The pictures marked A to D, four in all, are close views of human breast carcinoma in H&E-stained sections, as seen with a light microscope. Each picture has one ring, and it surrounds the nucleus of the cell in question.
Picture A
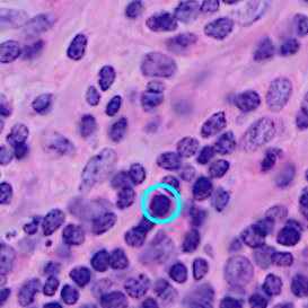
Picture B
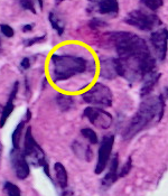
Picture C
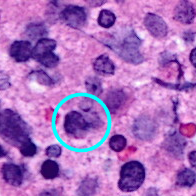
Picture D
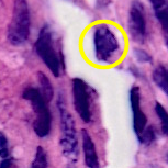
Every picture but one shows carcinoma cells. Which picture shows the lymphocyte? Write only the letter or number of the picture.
A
